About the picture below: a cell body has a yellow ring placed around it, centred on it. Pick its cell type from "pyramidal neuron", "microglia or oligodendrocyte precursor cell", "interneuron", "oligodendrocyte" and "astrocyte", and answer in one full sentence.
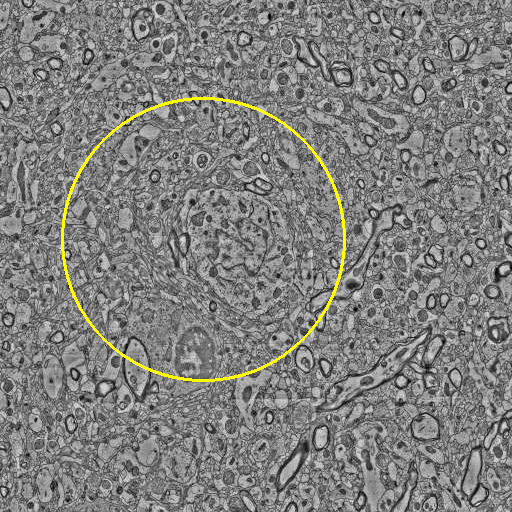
In the picture, an interneuron is the cell sitting at the centre of the yellow ring.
